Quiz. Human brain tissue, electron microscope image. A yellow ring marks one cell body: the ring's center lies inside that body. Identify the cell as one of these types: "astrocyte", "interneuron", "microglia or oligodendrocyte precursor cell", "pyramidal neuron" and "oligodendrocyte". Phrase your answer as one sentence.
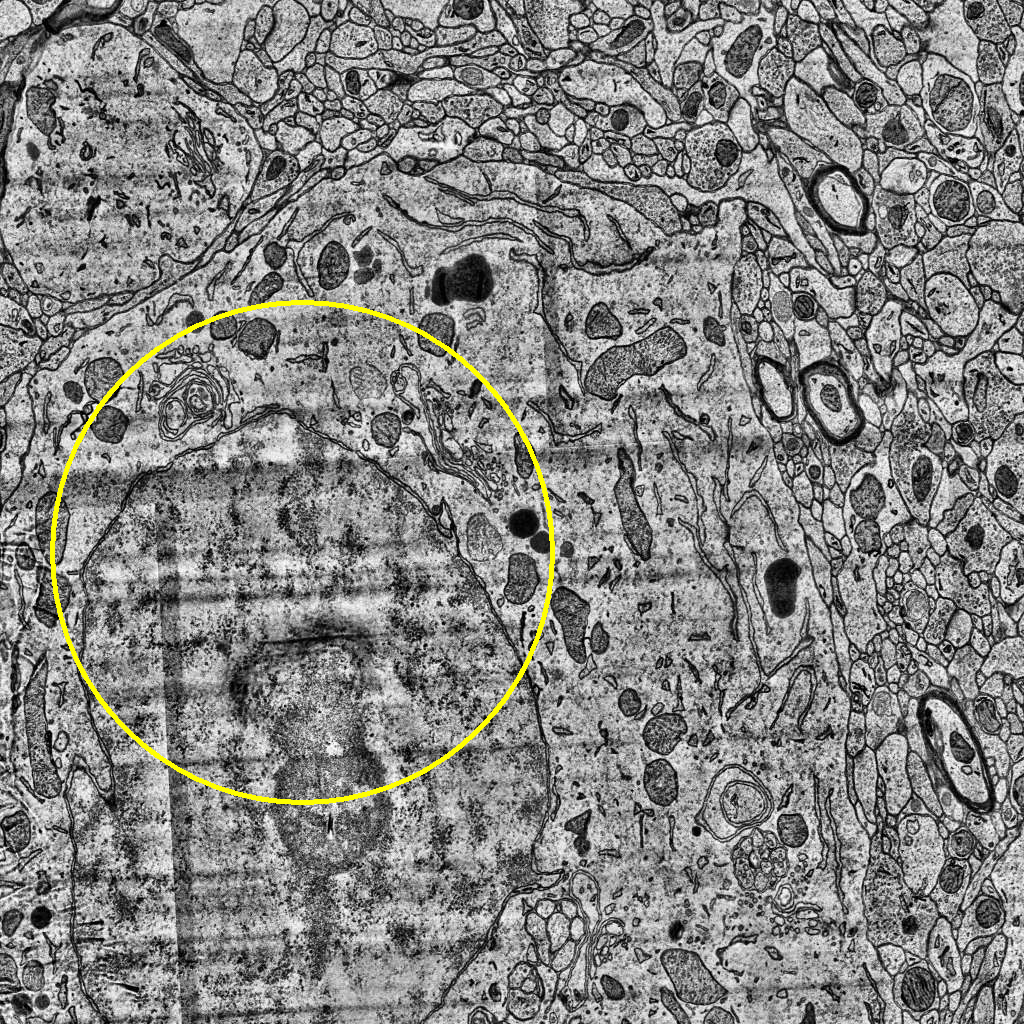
At the center of the ring sits an interneuron.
